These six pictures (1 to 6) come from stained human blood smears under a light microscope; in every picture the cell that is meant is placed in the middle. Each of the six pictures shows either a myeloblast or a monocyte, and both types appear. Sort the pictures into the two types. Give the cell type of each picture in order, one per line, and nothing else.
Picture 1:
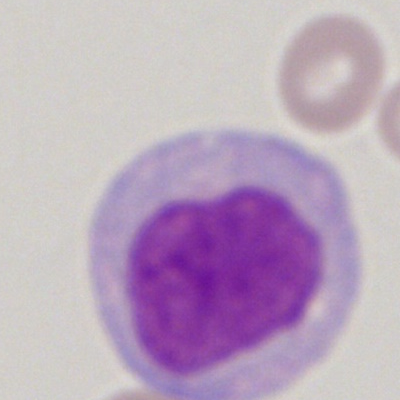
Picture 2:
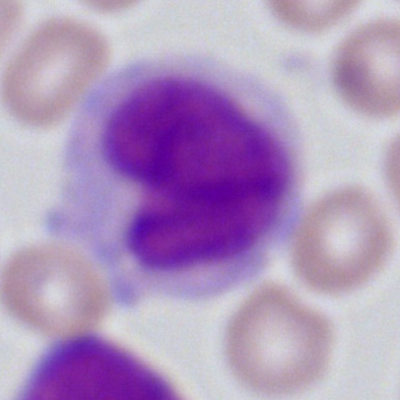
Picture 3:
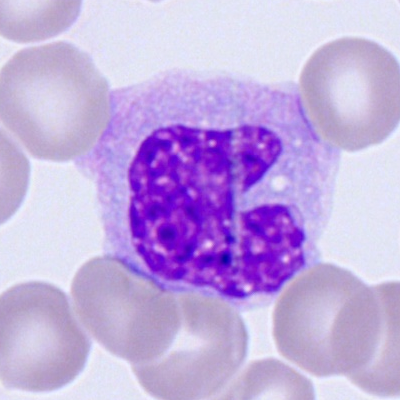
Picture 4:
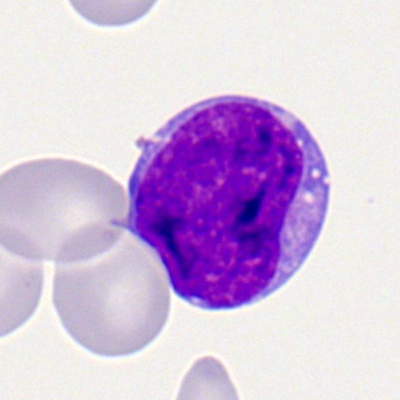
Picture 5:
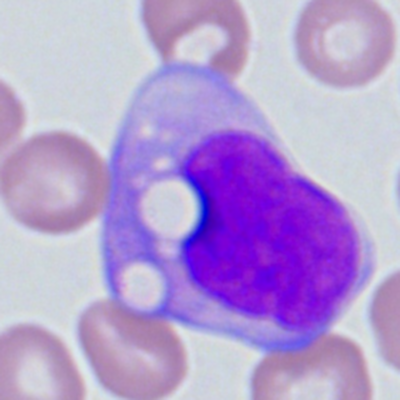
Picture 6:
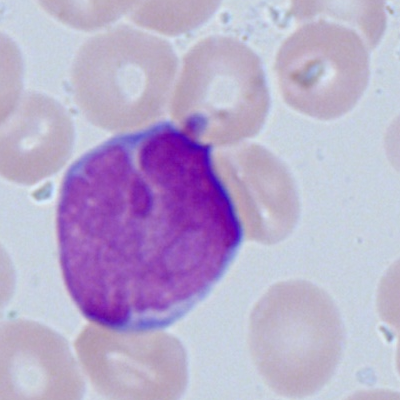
monocyte
monocyte
monocyte
myeloblast
monocyte
myeloblast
